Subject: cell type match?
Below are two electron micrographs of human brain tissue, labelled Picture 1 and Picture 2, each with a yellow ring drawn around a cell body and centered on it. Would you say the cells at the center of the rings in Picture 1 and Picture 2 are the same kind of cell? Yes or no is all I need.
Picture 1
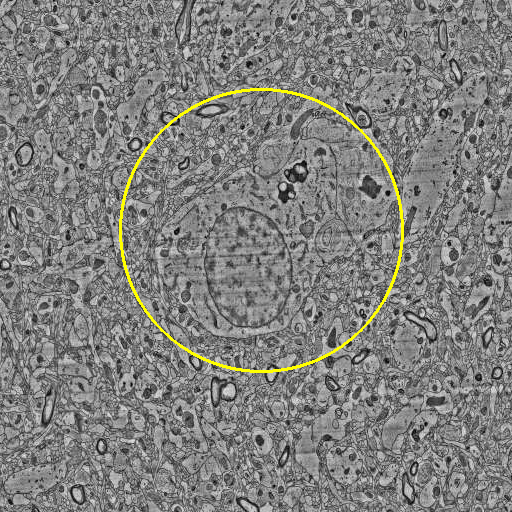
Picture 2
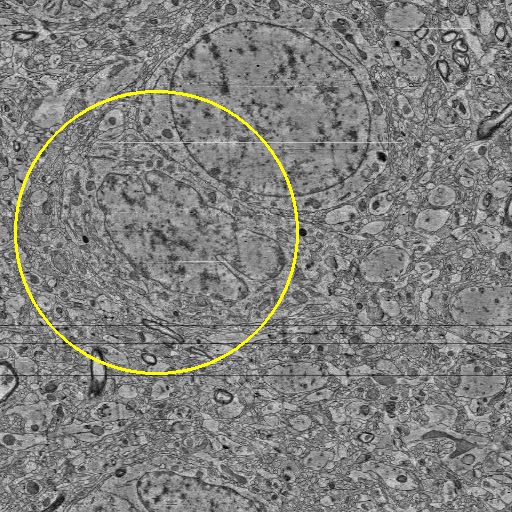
no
